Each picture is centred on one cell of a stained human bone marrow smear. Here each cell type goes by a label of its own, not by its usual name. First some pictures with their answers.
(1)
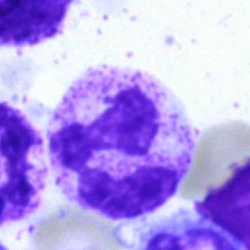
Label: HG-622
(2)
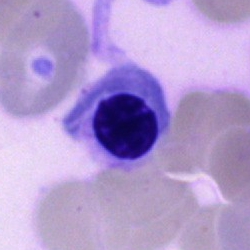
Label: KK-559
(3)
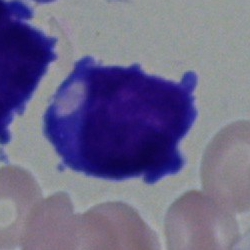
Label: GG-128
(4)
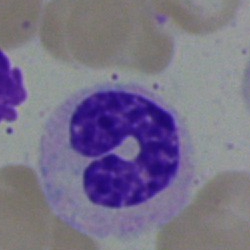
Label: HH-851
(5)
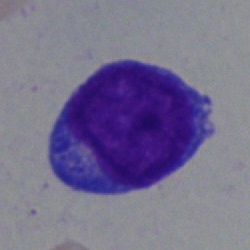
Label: GG-128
